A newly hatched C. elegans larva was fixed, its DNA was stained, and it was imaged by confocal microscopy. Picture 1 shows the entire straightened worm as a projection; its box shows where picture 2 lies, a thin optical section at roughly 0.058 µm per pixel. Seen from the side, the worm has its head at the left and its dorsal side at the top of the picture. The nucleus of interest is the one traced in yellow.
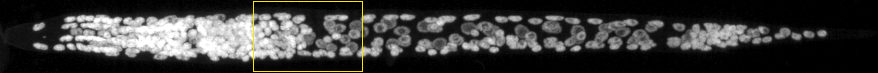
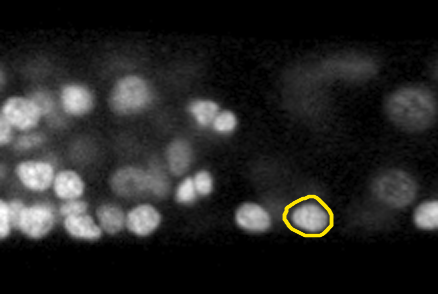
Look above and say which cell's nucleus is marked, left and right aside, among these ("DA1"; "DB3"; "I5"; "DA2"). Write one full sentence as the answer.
It belongs to DA2, a neuron.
